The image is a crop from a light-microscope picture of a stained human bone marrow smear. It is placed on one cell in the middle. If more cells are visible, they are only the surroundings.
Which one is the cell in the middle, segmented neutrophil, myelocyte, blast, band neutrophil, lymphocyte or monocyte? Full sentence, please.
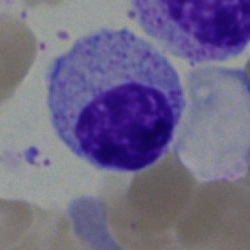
The cell that lies at the centre of the crop is a myelocyte.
